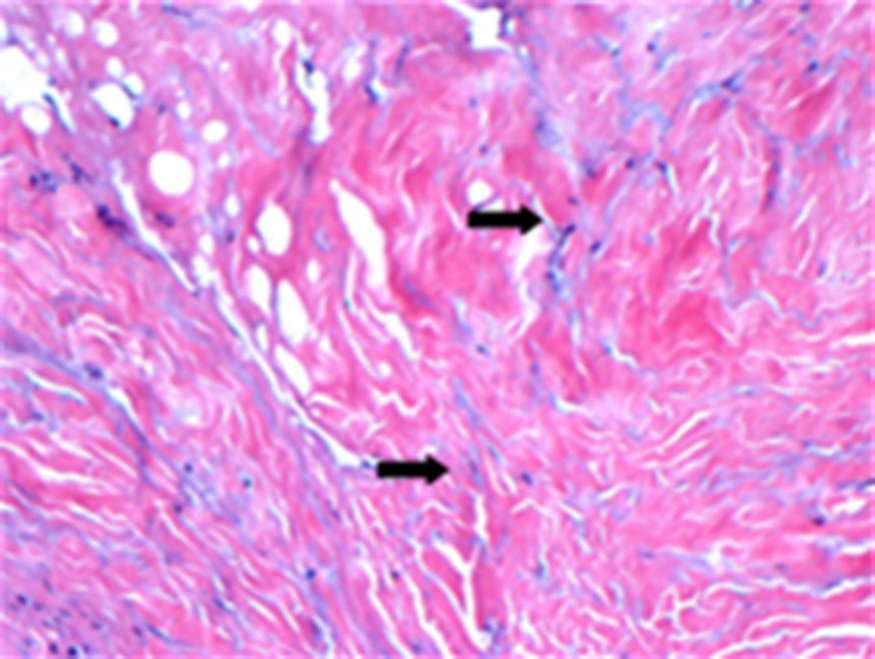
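Dense, eosin-pink collagenous matrix made of wavy, interlacing fibre bundles separated by thin clear clefts. The nuclei are sparse, with little visible cytoplasm, and they often align along the fibre bundles. Toward the upper left, round and oval clear empty spaces of varying size sit among the fibres.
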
